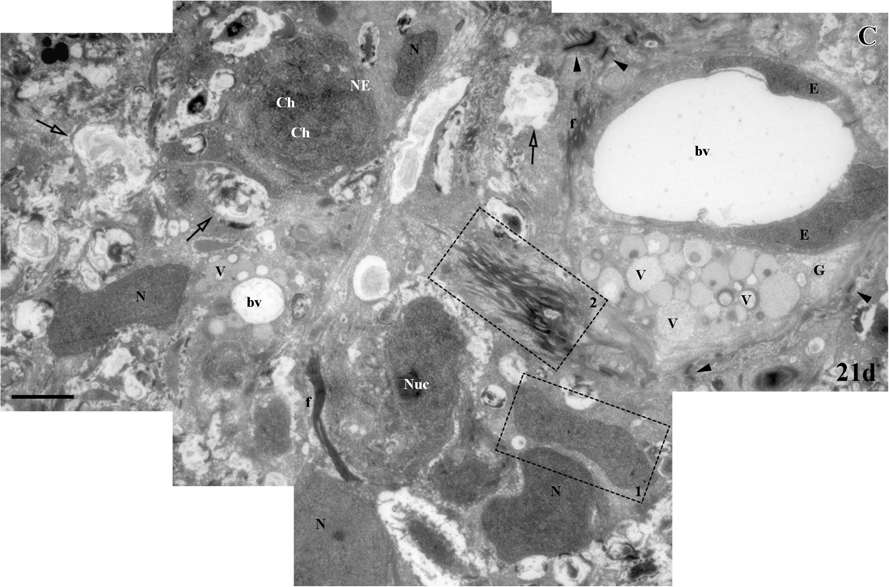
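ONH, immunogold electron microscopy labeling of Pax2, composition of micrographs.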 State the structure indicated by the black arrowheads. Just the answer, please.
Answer: Desmosomes.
